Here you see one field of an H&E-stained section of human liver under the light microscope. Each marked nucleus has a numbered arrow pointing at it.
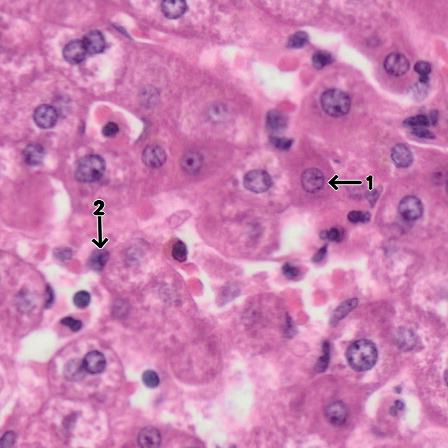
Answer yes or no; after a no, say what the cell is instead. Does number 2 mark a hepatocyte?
No, it is a fibroblast or stellate cell.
